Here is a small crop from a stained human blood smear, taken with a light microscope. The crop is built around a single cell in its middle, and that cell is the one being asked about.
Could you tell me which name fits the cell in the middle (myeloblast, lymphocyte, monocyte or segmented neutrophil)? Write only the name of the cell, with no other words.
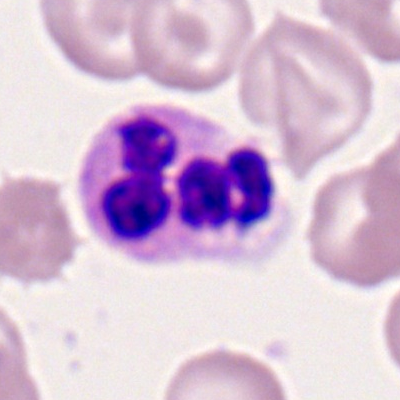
segmented neutrophil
